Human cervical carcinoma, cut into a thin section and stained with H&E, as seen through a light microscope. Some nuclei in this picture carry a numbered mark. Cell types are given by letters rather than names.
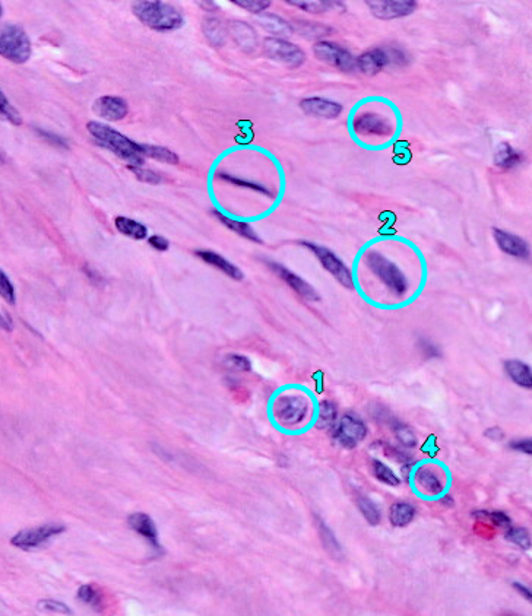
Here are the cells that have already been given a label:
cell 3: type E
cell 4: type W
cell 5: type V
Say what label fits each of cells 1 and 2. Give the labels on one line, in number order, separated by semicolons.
type W; type E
